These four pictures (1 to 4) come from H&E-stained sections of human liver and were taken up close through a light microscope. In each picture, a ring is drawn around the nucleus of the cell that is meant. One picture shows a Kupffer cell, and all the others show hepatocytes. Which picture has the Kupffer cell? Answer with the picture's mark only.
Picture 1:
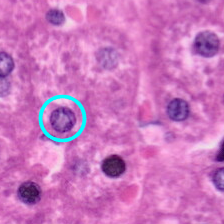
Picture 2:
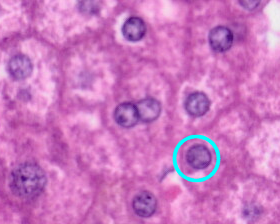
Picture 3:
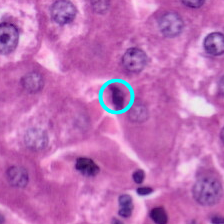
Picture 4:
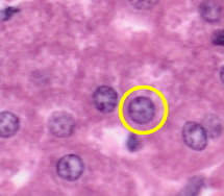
3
